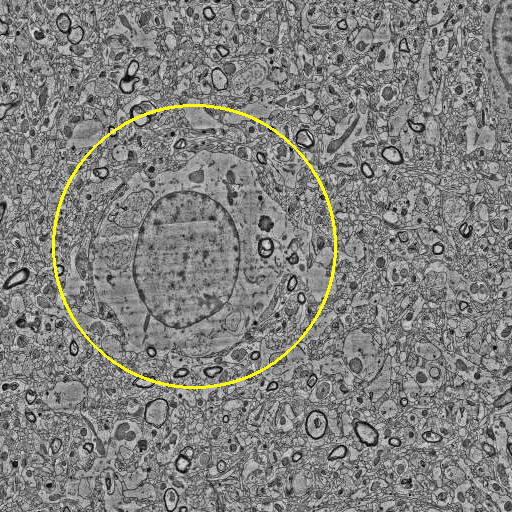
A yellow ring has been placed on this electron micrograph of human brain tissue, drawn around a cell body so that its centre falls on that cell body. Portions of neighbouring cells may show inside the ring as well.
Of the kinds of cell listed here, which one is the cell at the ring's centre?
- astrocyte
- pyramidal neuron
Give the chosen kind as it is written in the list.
astrocyte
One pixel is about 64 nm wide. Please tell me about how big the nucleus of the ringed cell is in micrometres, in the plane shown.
In this plane, the nucleus of the cell at the centre of the ring measures about 9 by 7 micrometres.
